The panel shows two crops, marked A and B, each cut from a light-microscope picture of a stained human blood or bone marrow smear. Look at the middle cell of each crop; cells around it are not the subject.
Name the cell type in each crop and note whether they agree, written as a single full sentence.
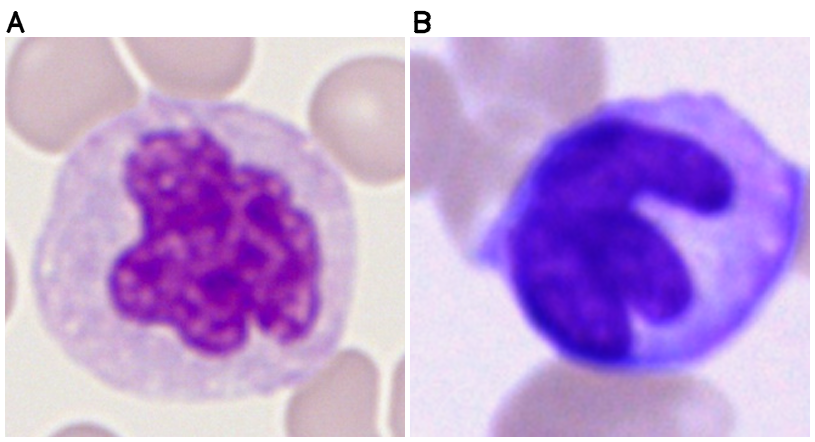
Yes, the cells under consideration in both crops are monocytes.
